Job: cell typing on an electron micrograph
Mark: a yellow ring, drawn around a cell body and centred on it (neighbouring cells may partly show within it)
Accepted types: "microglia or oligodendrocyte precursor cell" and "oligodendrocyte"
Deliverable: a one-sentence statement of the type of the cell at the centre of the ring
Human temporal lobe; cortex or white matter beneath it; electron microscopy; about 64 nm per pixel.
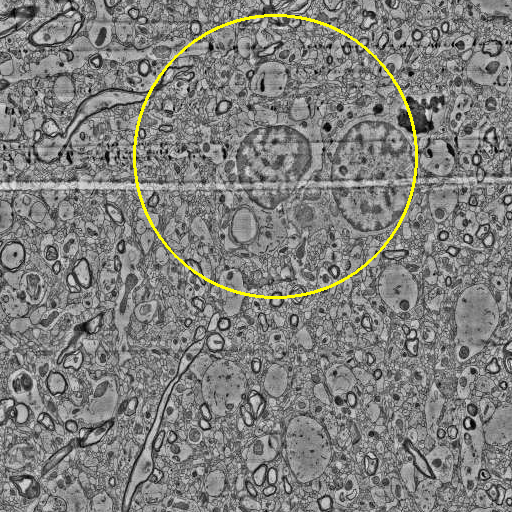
The centred cell body is that of a microglial cell or oligodendrocyte precursor cell.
